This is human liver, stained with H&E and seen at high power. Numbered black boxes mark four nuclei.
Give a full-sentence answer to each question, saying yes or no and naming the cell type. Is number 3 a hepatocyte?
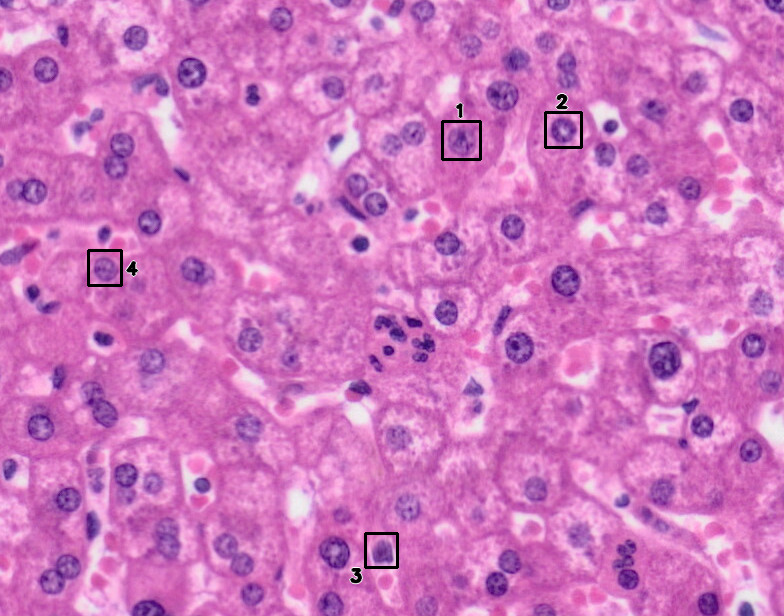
No, cell 3 is not a hepatocyte, but is instead an endothelial cell.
